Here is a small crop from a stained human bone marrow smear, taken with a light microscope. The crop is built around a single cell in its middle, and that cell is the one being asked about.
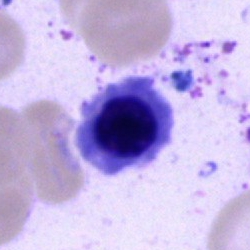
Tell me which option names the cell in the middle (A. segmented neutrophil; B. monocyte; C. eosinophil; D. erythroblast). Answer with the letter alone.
D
